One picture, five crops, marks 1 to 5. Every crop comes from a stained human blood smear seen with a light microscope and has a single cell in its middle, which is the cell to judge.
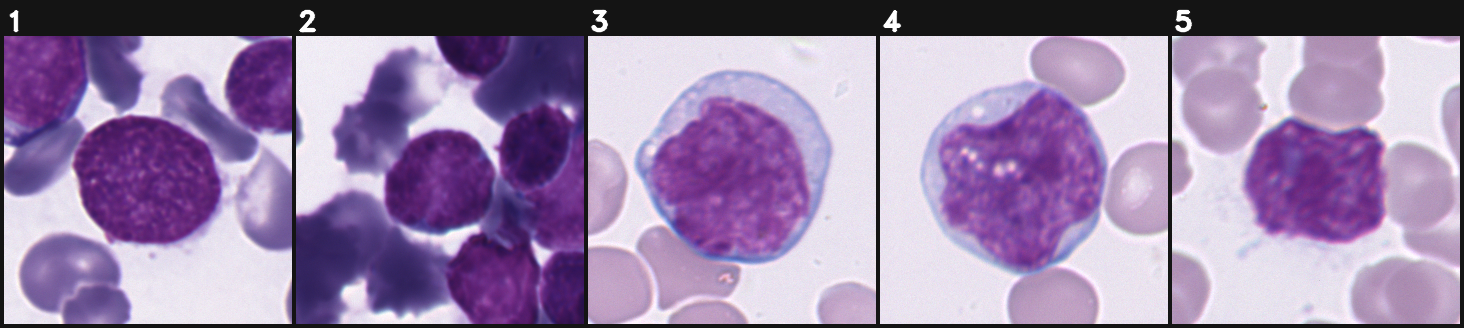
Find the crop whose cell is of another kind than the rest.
5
